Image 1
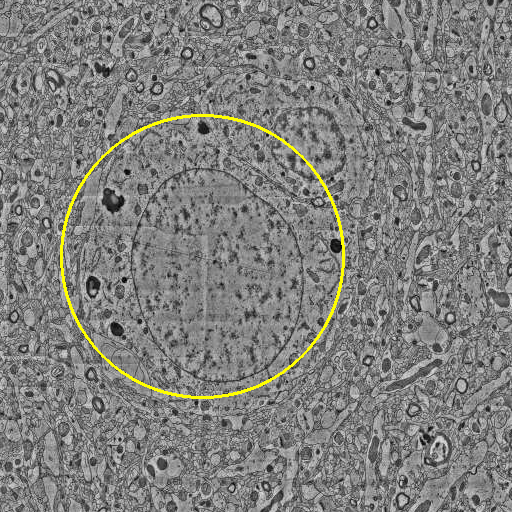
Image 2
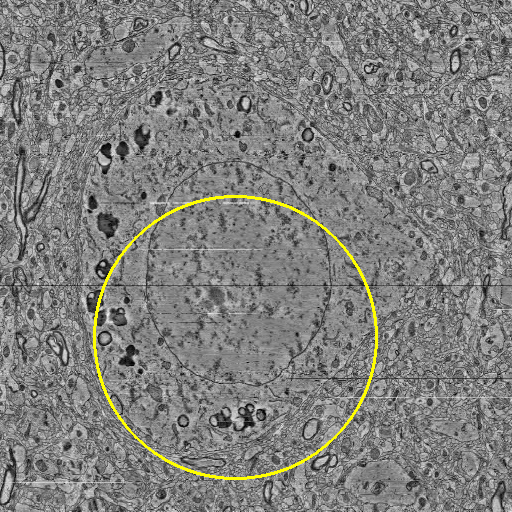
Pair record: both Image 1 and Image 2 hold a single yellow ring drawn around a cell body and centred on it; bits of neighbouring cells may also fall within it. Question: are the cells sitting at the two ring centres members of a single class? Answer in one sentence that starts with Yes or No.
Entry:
Yes, both ring-centre cells in Image 1 and Image 2 are members of one class.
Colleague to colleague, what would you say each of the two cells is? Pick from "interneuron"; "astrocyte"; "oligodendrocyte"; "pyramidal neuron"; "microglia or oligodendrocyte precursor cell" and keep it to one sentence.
Each cell at the centre of a ring is a pyramidal neuron.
